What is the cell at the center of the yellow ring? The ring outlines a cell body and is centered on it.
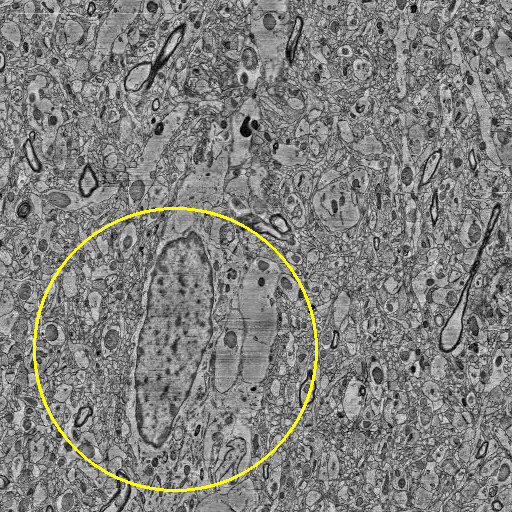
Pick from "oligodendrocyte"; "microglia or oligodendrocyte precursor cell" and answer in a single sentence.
The yellow ring is centered on a microglial cell or oligodendrocyte precursor cell.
